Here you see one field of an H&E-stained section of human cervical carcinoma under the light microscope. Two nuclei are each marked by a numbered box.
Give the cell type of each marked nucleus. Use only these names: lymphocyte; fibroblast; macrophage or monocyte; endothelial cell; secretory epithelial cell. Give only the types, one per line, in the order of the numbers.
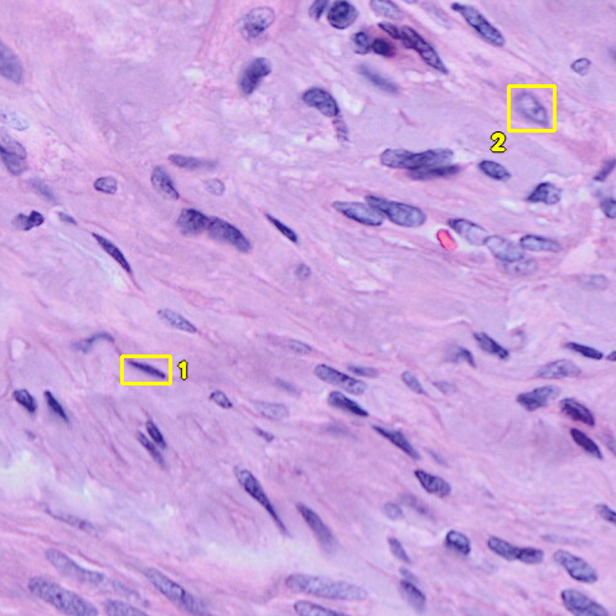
fibroblast
endothelial cell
